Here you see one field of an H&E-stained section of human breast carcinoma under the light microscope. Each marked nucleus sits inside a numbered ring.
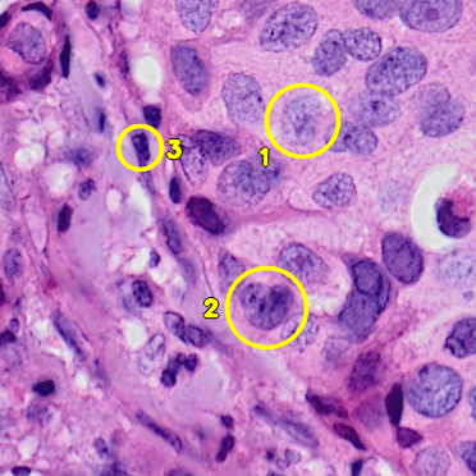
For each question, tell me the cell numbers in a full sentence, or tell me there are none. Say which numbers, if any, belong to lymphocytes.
Among the marked cells, cell number 3 alone is a lymphocyte.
